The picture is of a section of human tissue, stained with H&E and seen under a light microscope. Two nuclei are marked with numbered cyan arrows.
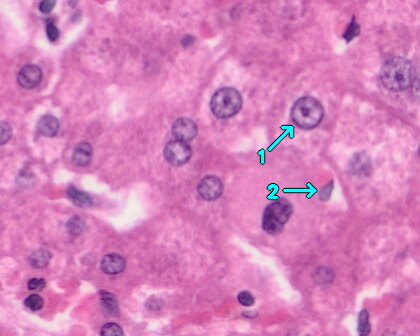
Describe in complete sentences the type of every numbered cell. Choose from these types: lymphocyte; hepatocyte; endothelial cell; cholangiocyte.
Cell 1 is a hepatocyte and cell 2 is an endothelial cell.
